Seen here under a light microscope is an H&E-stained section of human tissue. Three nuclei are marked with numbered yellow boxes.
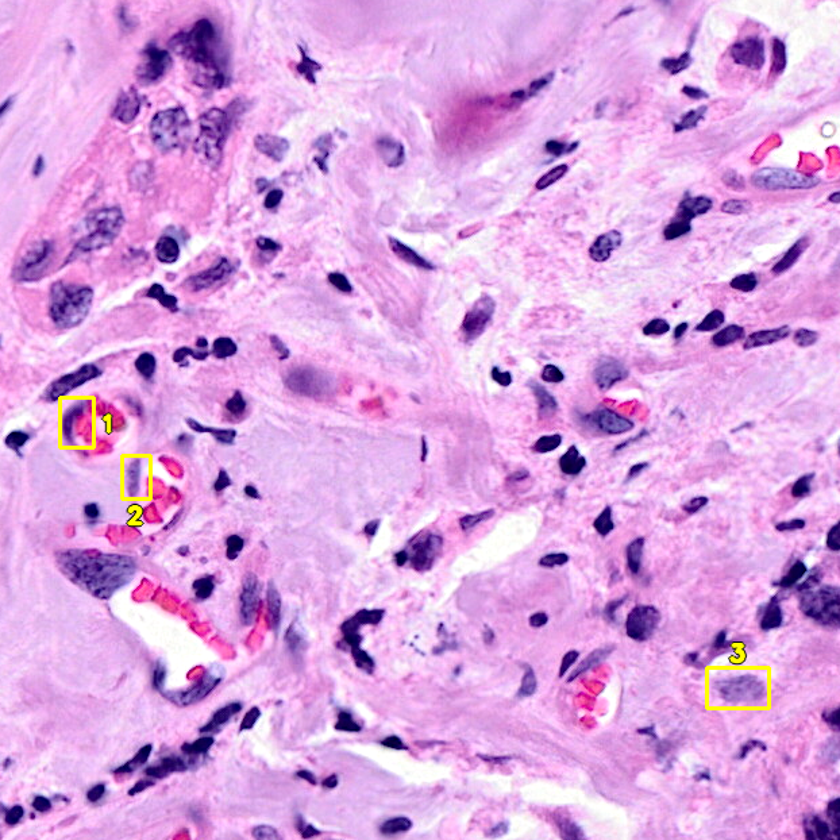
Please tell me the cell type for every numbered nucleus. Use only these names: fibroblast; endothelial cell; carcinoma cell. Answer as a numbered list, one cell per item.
1. endothelial cell
2. endothelial cell
3. fibroblast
